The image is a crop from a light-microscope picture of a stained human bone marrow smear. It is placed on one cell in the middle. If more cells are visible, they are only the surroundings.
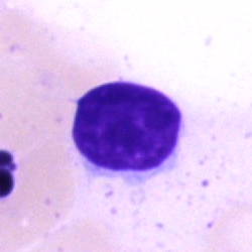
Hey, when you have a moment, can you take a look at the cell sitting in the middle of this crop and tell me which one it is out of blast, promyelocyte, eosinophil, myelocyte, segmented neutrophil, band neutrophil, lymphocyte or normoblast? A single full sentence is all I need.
Seen at the centre of the crop is a lymphocyte.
